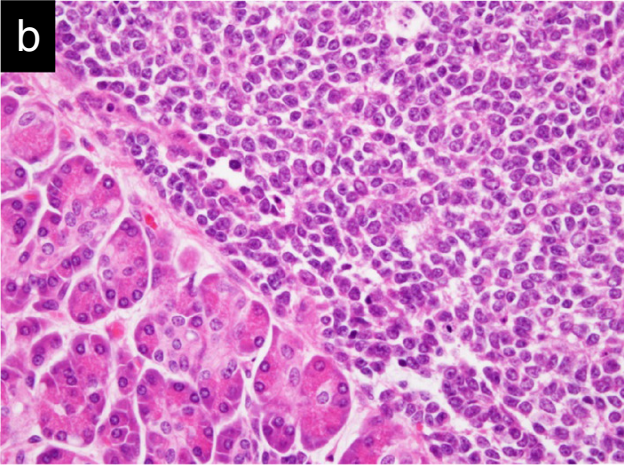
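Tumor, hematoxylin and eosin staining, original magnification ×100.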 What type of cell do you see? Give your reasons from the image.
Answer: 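Sheets of densely packed cells fill the right and upper part of the panel. The cells have round to oval dark purple nuclei. Very little cytoplasm is visible around each nucleus.
Atypical small round cells.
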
